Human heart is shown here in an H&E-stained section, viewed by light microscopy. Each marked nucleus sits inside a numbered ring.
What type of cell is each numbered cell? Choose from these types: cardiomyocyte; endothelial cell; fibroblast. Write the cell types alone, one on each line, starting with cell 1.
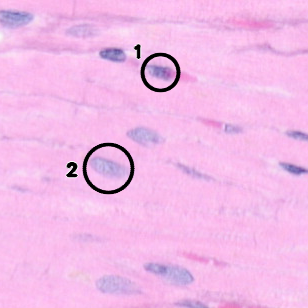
endothelial cell
cardiomyocyte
